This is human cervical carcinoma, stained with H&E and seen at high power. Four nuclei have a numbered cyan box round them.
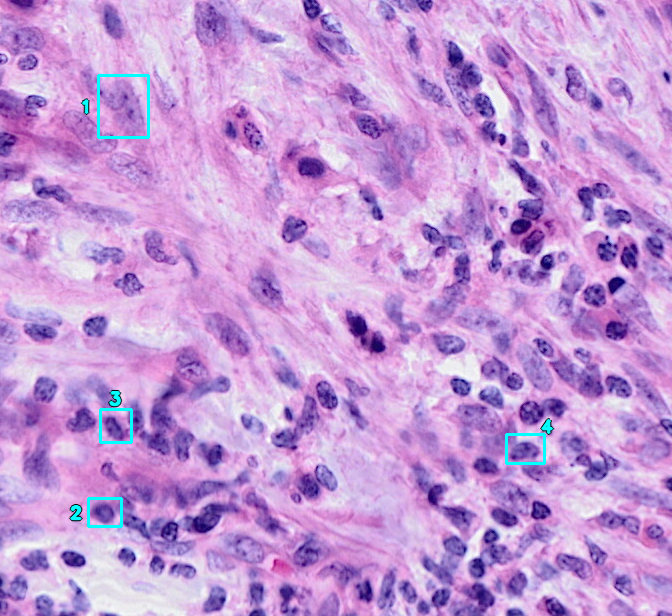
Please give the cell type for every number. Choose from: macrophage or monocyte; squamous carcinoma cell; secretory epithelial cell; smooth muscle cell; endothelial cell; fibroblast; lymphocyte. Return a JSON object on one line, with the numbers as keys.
{"1": "fibroblast", "2": "lymphocyte", "3": "lymphocyte", "4": "lymphocyte"}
